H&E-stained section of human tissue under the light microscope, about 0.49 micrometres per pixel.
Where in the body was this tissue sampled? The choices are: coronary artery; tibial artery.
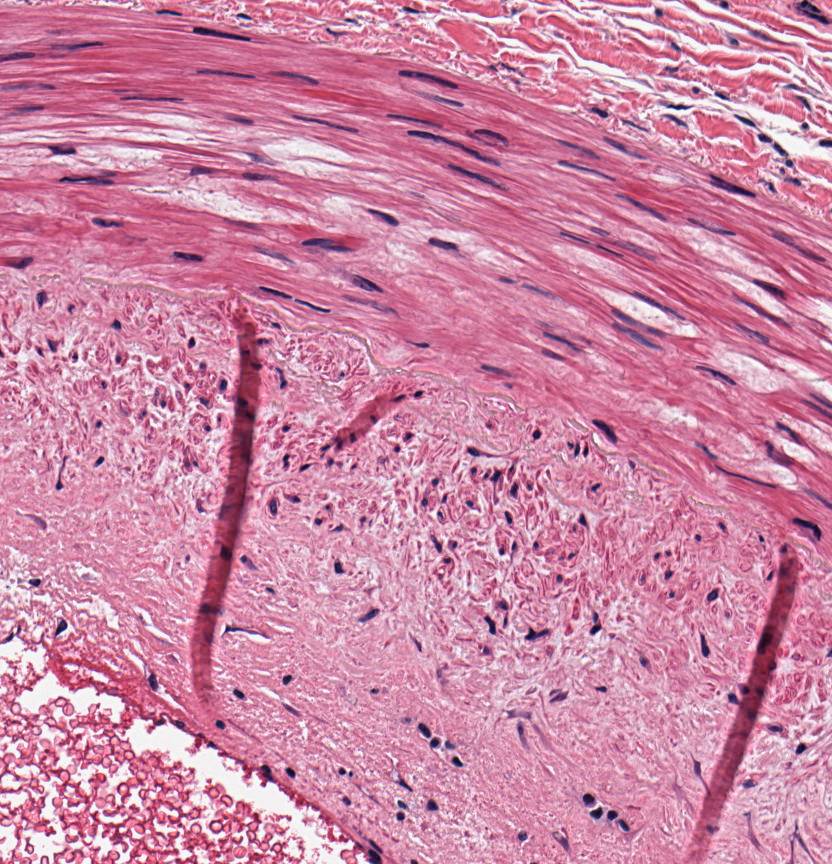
coronary artery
